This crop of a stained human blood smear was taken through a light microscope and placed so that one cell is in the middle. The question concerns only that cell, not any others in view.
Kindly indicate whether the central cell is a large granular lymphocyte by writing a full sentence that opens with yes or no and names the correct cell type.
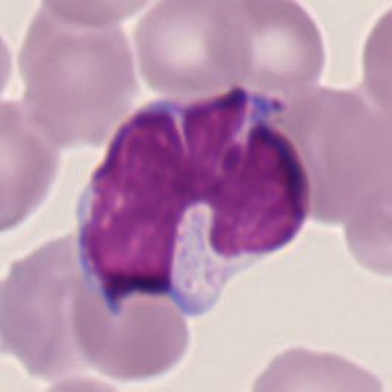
Yes, a large granular lymphocyte is the cell positioned in the middle of the field.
